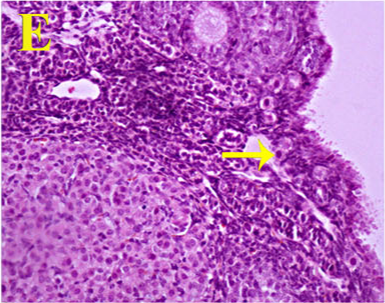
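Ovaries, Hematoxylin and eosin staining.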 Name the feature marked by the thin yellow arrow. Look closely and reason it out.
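The arrow points to a small round structure just beneath the ovarian surface. It is much smaller than the growing follicles elsewhere in the panel. So: primordial follicle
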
